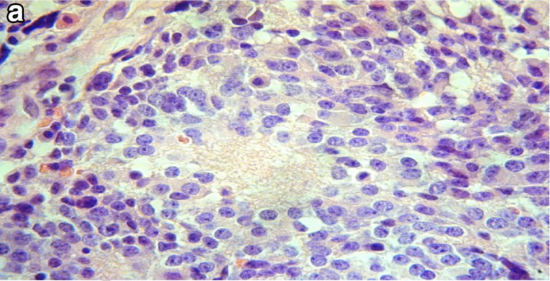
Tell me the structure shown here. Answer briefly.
Homer-Wright rosette.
